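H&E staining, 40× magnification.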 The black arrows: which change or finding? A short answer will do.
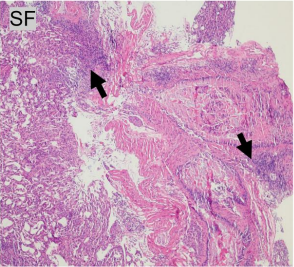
Lymphocyte infiltration.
